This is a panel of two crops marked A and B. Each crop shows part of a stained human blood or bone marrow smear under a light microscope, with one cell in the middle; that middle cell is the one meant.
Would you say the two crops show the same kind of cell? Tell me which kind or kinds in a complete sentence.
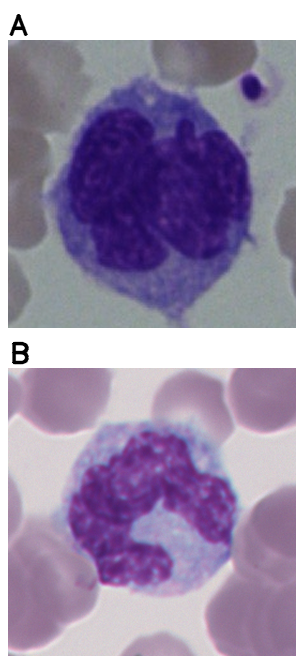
Yes, both crops show monocytes in their central position.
